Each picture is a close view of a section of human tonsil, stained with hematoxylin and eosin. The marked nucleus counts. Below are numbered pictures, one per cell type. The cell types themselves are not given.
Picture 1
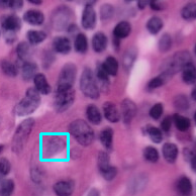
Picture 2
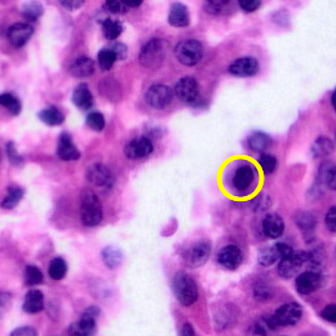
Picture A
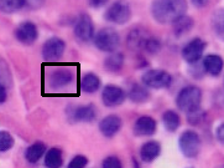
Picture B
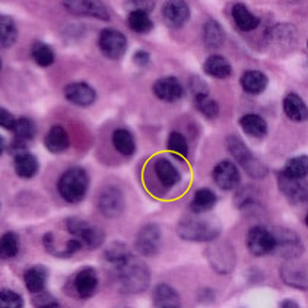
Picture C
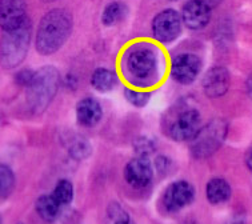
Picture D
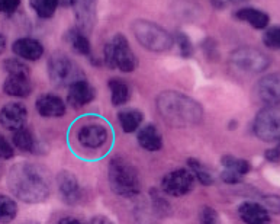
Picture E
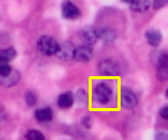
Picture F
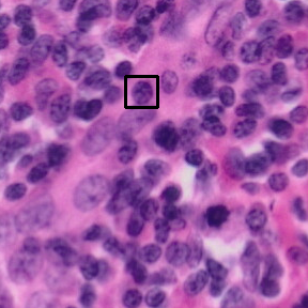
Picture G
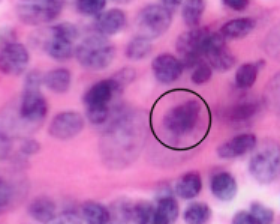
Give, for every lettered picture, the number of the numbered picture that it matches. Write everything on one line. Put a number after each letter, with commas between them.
A 1, B 2, C 2, D 2, E 2, F 1, G 1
